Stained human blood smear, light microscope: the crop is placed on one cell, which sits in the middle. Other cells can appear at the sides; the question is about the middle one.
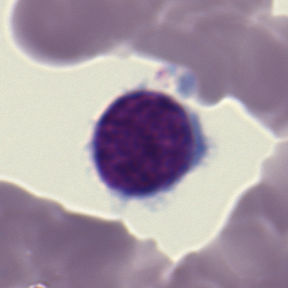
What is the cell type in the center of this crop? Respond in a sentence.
Positioned in the middle of the crop is a hairy cell.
